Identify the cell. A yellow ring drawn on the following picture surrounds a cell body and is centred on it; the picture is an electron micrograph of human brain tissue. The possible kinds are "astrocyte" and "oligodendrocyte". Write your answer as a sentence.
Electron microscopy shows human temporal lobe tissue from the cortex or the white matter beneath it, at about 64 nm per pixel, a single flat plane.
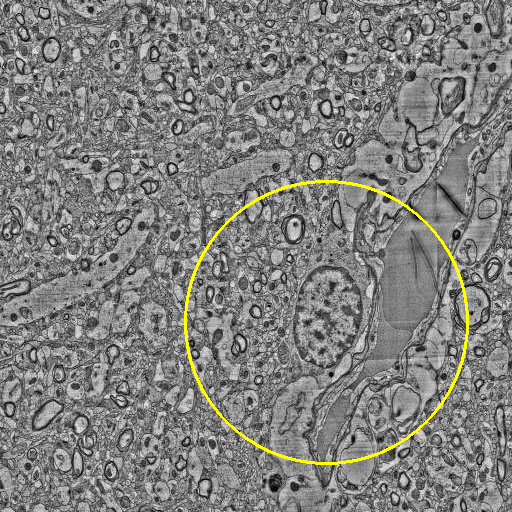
The cell identified by the ring is an oligodendrocyte.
